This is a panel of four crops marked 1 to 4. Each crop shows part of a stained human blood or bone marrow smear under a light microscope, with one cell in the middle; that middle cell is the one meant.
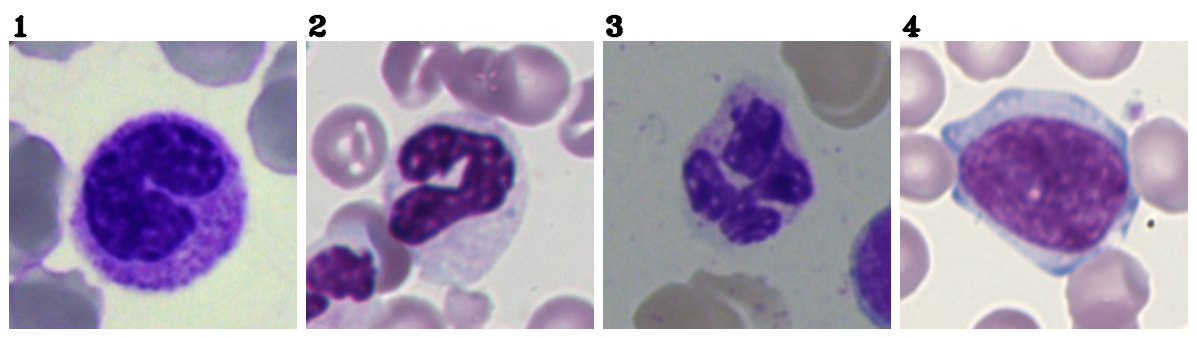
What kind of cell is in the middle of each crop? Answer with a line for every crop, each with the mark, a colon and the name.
1: band neutrophil
2: band neutrophil
3: segmented neutrophil
4: blast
